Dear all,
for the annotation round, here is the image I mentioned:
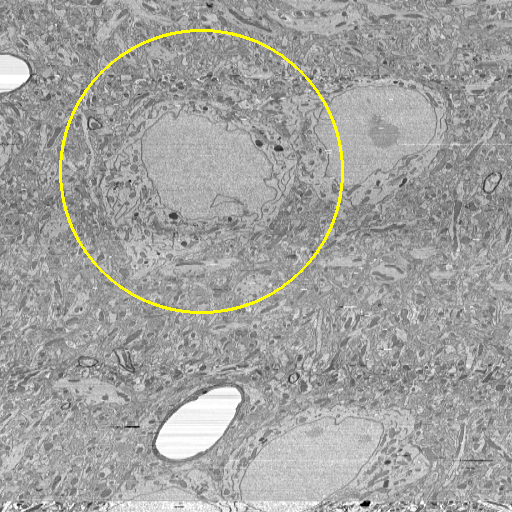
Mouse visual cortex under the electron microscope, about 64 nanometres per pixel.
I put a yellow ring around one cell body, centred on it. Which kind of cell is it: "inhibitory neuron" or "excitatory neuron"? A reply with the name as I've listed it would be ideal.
inhibitory neuron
